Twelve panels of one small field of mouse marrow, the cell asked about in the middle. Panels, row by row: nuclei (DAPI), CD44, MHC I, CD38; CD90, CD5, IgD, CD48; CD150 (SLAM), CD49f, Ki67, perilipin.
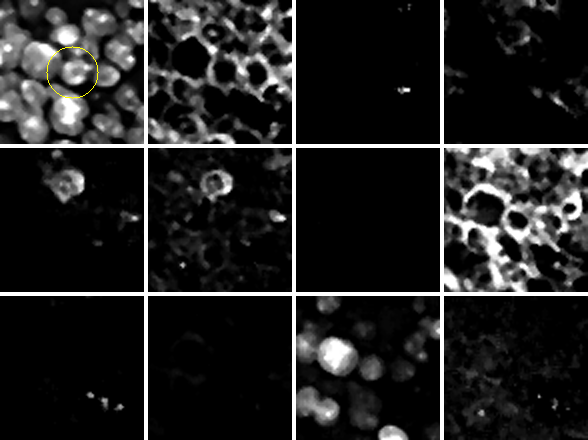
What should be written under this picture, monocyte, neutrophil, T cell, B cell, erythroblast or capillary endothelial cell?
monocyte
